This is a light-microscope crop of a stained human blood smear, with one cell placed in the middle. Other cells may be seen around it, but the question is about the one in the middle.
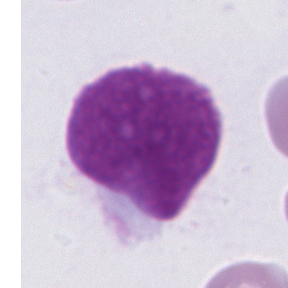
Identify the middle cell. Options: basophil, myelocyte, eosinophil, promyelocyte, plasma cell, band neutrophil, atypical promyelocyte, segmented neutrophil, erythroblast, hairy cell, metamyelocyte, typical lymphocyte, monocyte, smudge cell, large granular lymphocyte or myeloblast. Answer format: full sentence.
For this crop, the cell in the middle is a smudge cell.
